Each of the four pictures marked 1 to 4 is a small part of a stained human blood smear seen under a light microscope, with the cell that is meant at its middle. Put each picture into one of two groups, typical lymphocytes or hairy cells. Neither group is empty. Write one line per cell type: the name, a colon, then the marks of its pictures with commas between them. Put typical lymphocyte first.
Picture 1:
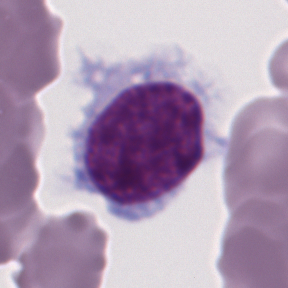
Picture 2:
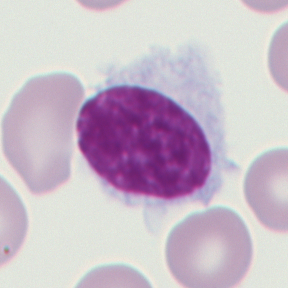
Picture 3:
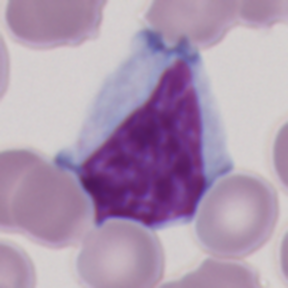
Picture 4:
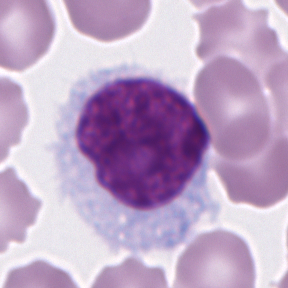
typical lymphocyte: 3
hairy cell: 1, 2, 4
